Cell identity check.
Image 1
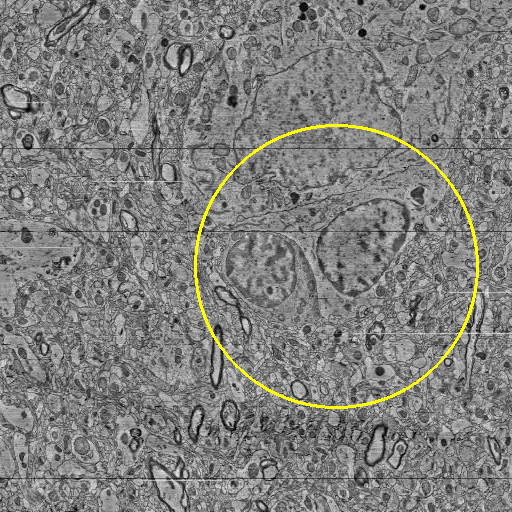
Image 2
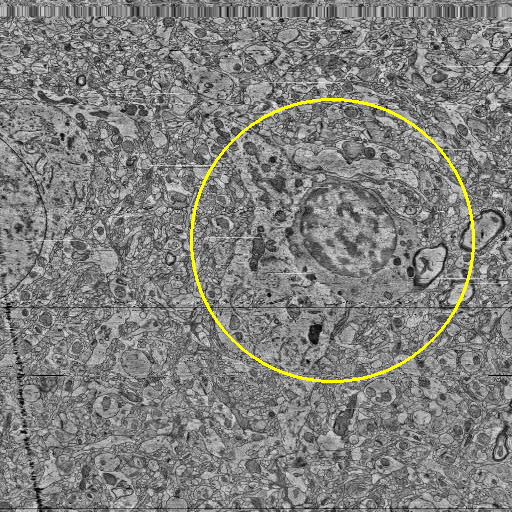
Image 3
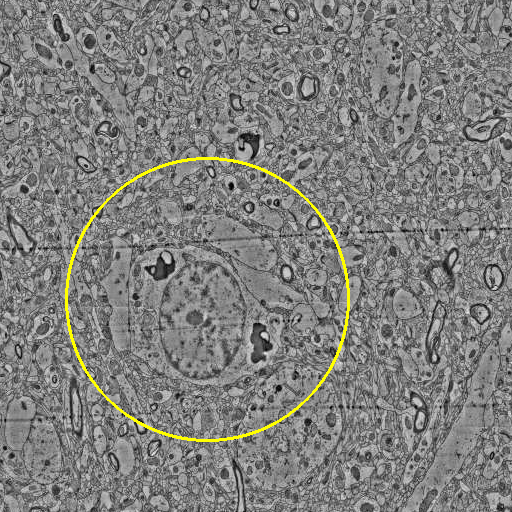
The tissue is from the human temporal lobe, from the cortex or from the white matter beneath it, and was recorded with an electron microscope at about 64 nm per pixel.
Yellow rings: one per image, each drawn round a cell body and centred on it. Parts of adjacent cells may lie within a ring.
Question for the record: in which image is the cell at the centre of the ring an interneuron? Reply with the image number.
3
